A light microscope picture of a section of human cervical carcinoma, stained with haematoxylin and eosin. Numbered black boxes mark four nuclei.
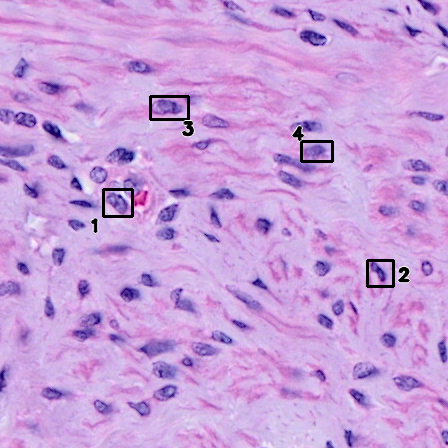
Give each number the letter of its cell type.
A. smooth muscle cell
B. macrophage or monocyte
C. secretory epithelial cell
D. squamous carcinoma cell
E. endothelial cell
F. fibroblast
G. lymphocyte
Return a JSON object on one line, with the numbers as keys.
{"1": "E", "2": "A", "3": "A", "4": "A"}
